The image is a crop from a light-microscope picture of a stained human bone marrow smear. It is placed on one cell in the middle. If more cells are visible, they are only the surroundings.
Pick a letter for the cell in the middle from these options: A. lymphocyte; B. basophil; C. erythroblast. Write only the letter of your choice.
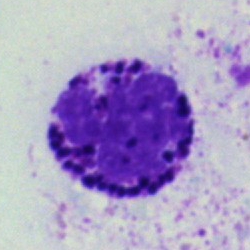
B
